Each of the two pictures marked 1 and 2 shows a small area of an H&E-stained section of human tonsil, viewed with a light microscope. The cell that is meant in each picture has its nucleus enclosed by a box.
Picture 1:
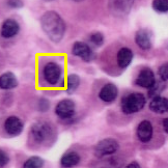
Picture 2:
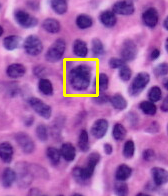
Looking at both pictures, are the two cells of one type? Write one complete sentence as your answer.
No, picture 1 shows a plasma cell and picture 2 shows a proliferating B cell.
